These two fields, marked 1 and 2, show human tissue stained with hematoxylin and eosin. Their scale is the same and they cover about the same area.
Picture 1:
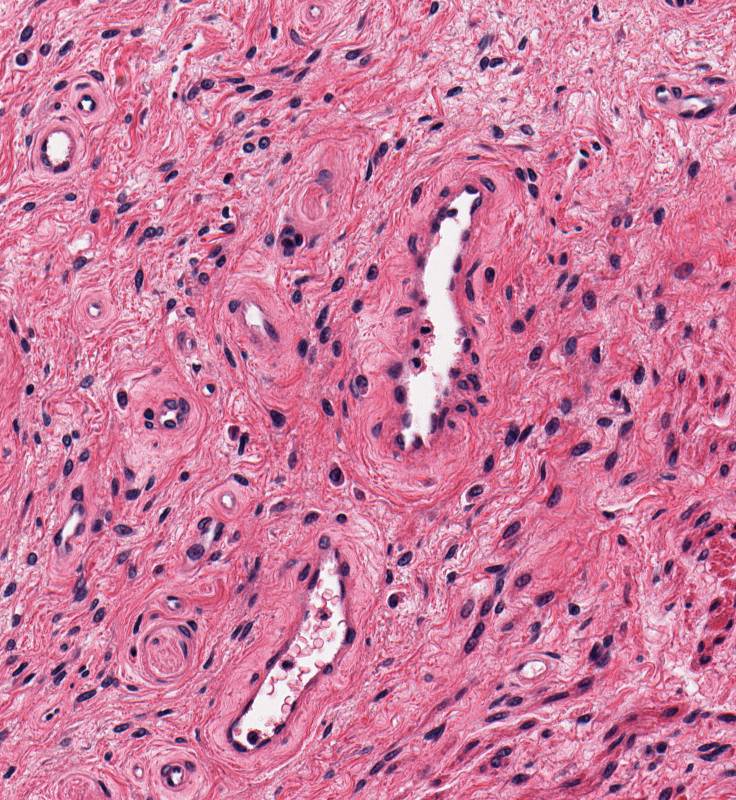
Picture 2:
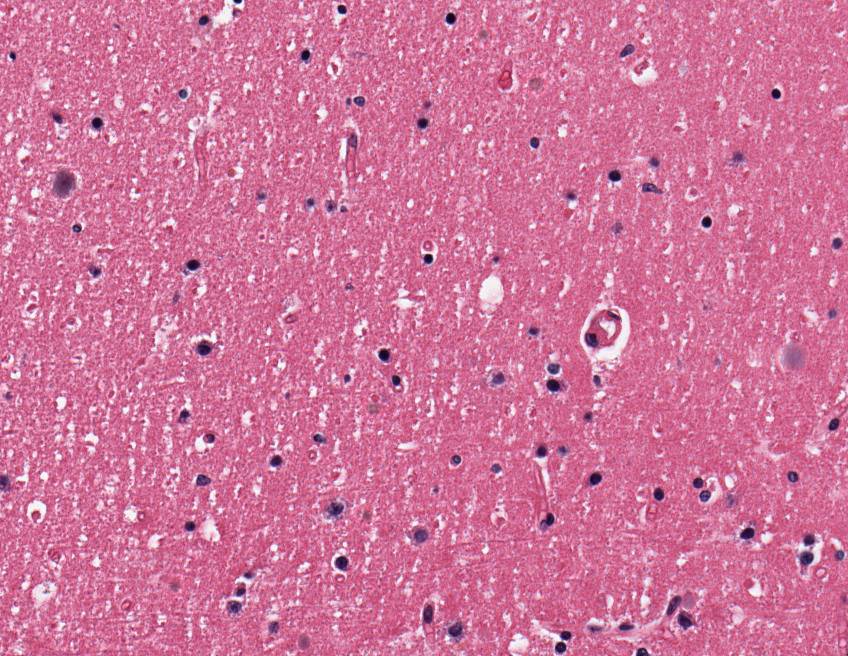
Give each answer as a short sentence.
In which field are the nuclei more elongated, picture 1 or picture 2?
The nuclei are more elongated in picture 1.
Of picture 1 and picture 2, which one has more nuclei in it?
Picture 1 holds more nuclei than picture 2.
